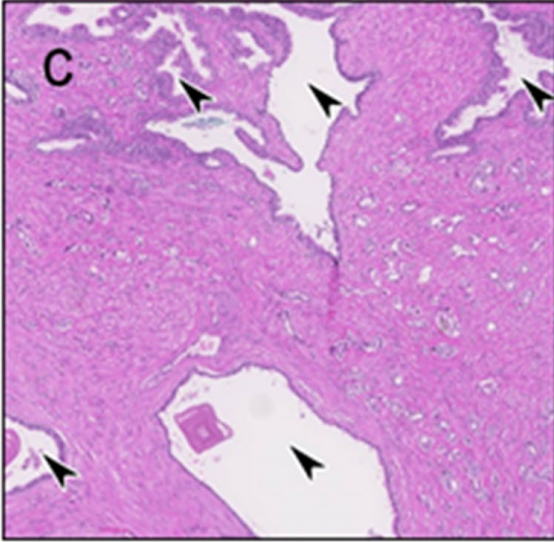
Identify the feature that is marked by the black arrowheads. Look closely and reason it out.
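The marked spaces are large, dilated glands with wide open lumens. They are far larger than the many small glands in the surrounding stroma.
Benign glands.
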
